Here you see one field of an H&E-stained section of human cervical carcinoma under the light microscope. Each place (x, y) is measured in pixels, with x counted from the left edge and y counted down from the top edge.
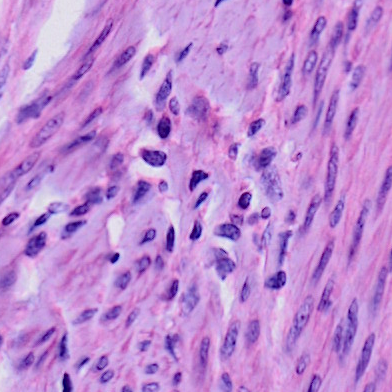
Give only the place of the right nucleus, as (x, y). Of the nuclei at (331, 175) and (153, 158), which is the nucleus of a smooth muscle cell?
(331, 175)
